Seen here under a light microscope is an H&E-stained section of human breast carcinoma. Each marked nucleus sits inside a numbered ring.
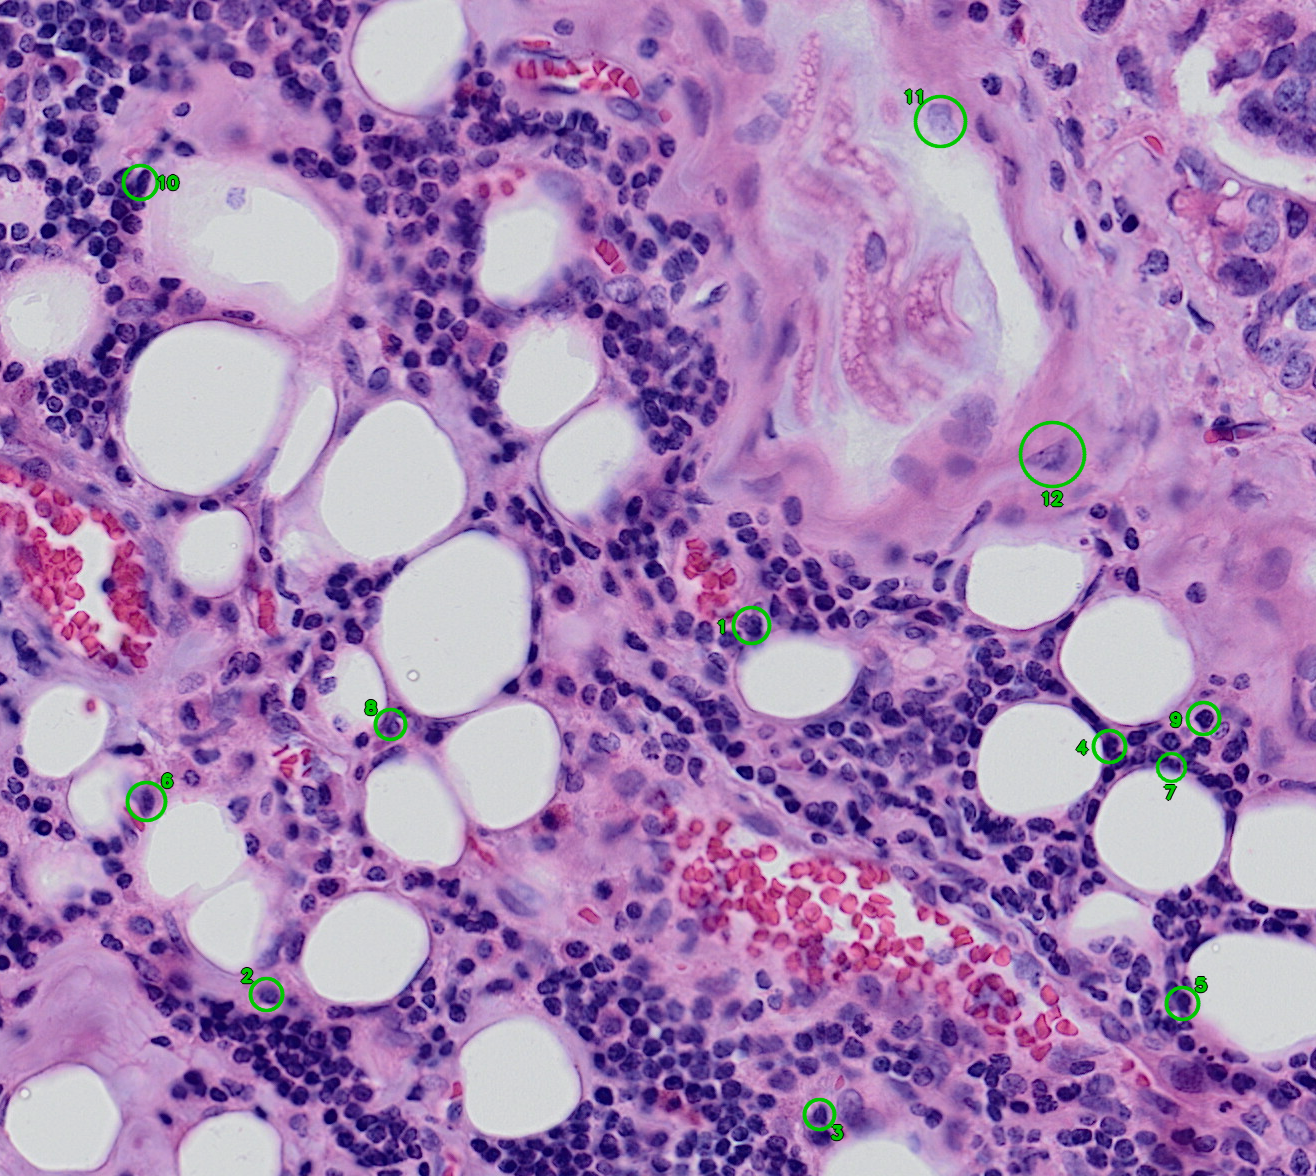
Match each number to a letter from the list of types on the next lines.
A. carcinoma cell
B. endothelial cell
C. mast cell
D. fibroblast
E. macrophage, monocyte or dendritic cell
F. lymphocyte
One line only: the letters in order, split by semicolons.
F; C; F; F; F; B; F; B; F; F; D; D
